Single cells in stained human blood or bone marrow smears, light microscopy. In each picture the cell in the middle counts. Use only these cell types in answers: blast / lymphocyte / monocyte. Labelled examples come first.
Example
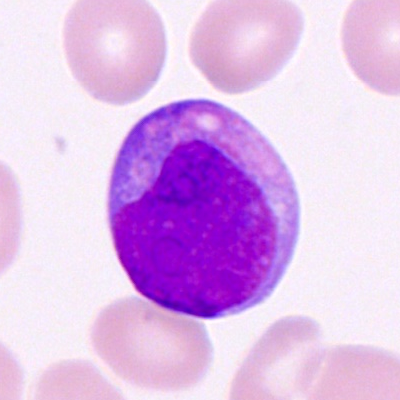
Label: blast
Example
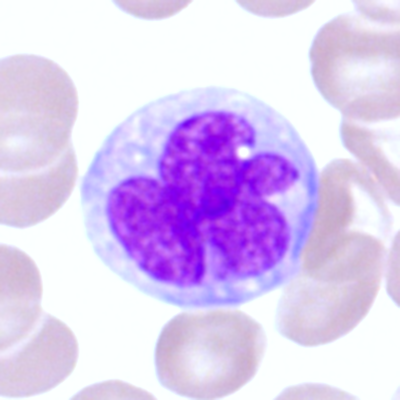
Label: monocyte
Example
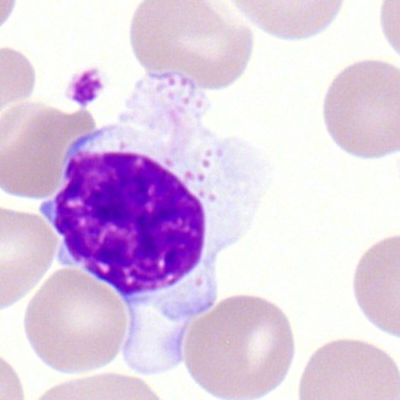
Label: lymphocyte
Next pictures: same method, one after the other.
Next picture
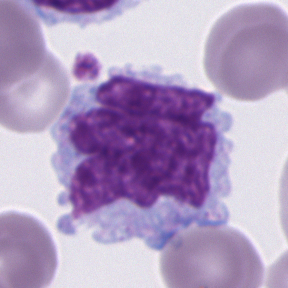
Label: monocyte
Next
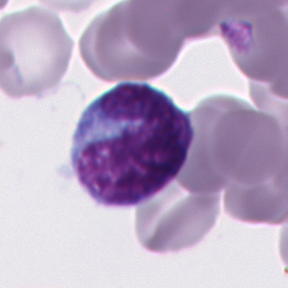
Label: lymphocyte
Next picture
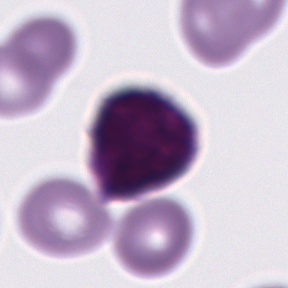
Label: blast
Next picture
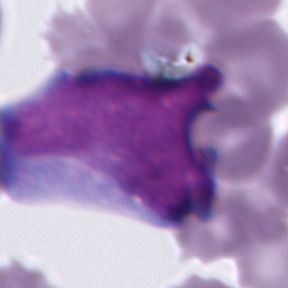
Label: blast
